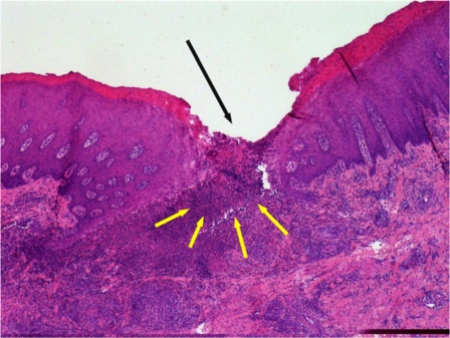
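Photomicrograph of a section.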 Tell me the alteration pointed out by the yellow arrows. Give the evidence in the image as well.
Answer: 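A dense zone of small dark purple nuclei lies beneath the epidermal defect. The densely cellular area spreads into the underlying dermis.
Hence: inflammatory cell infiltrate.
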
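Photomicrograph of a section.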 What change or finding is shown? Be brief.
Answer: epidermal hyperplasia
